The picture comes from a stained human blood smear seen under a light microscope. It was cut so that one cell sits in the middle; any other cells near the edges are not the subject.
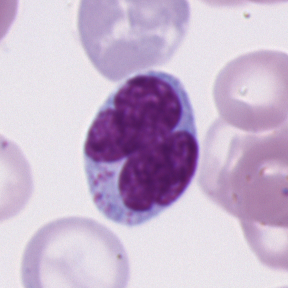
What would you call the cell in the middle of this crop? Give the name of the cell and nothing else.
large granular lymphocyte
